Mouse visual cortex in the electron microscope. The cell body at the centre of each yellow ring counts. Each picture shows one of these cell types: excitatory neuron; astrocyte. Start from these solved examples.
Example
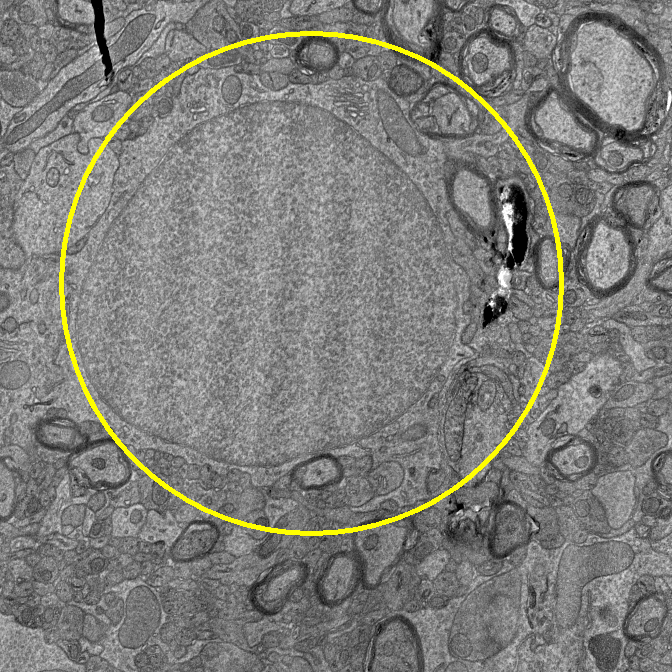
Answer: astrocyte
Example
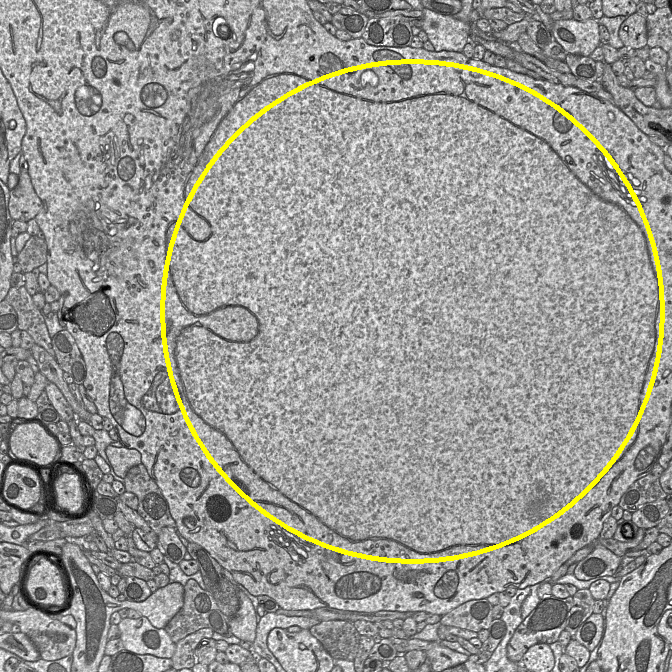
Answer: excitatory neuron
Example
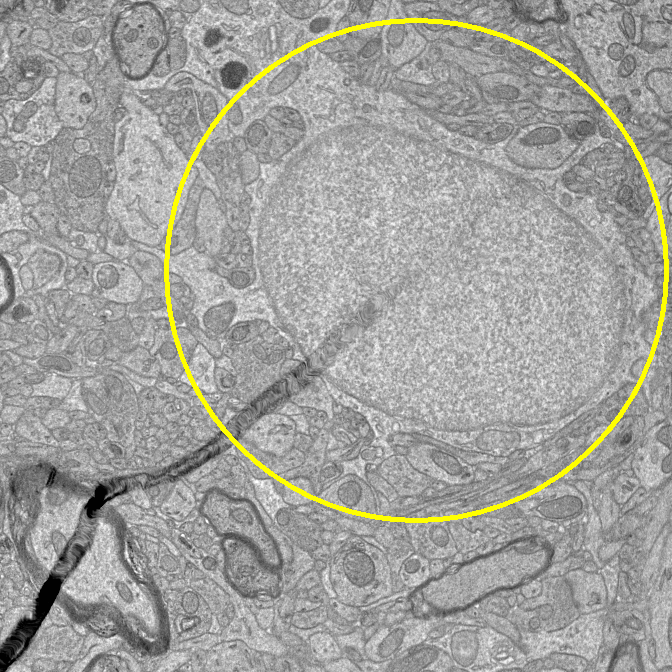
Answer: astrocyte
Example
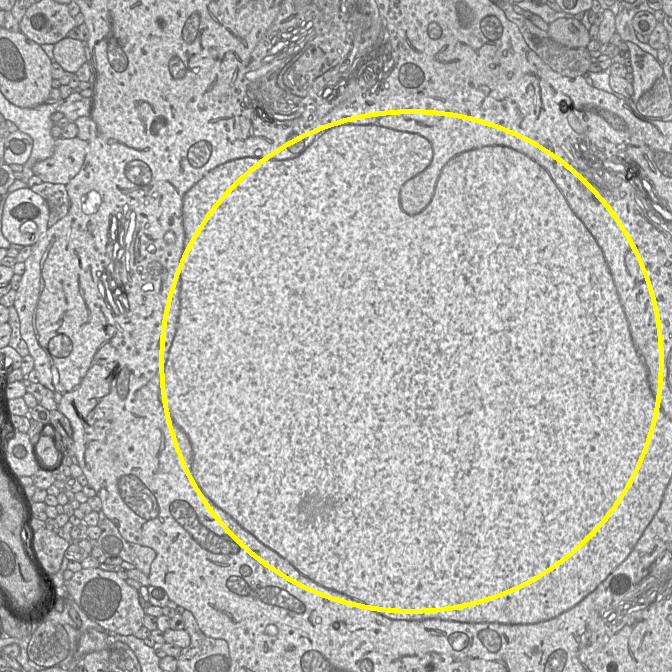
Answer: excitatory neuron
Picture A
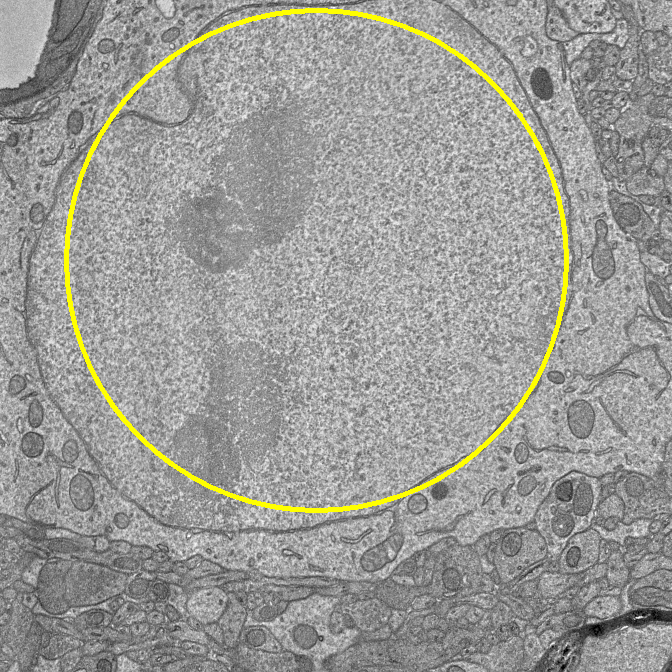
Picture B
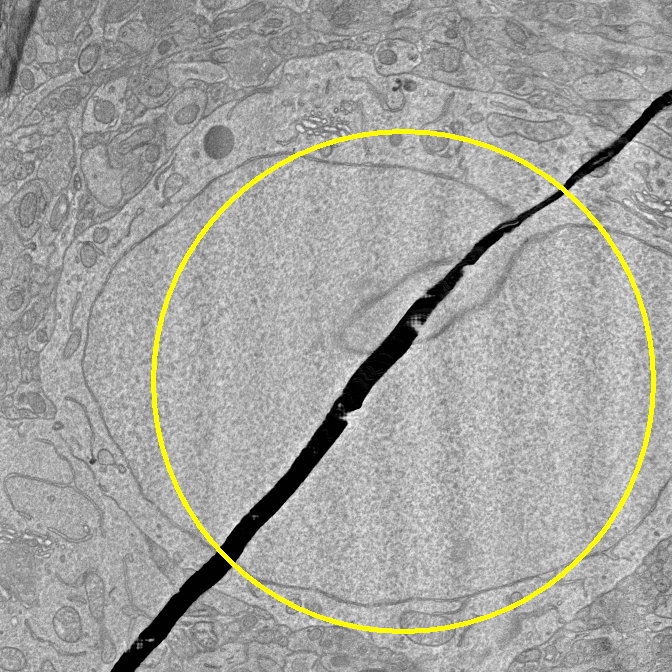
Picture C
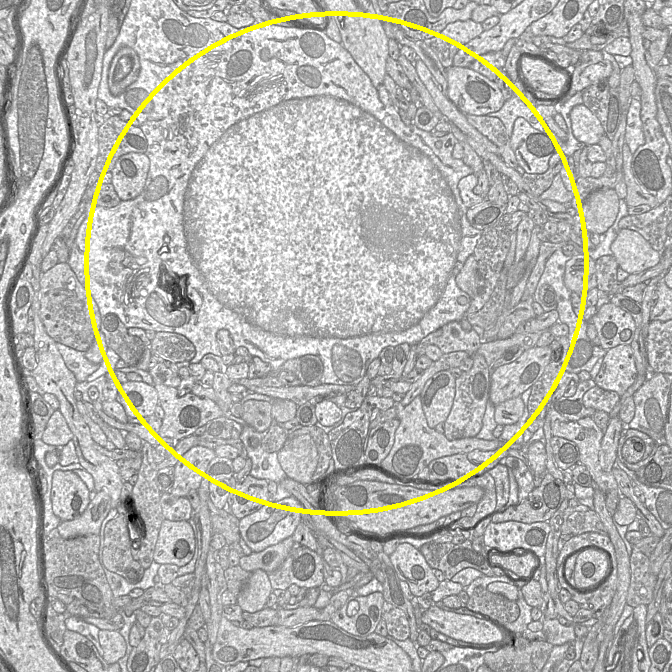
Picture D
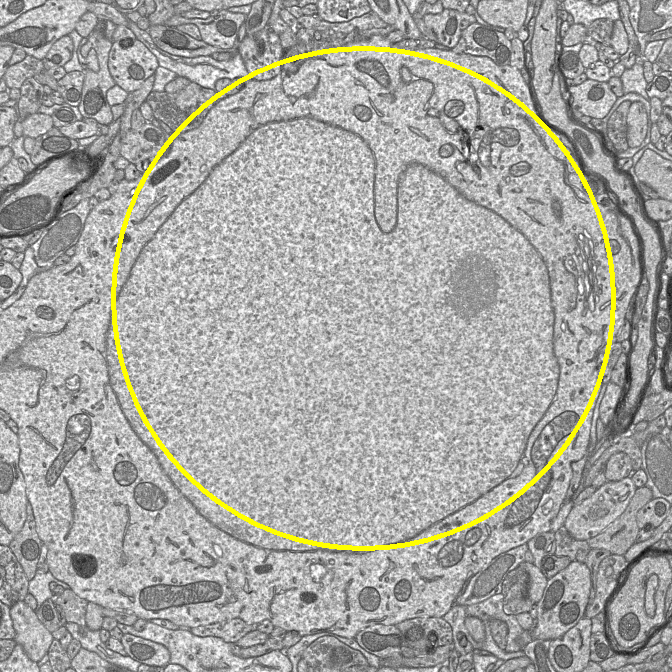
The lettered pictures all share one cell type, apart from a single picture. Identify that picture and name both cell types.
Picture C: astrocyte. All others: excitatory neuron.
